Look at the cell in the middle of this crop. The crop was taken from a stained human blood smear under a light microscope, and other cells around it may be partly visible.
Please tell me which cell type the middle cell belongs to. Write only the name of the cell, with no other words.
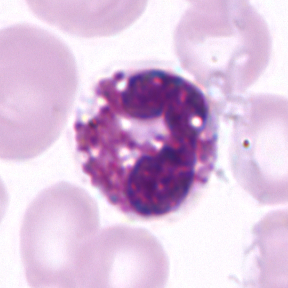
eosinophil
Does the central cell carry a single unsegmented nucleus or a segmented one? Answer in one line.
This cell has a nucleus made up of two or more segments.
